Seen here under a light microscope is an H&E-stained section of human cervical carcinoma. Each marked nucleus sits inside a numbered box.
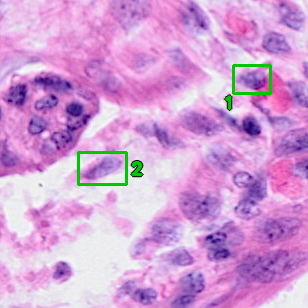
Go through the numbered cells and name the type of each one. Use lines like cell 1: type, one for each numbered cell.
cell 1: endothelial cell
cell 2: fibroblast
